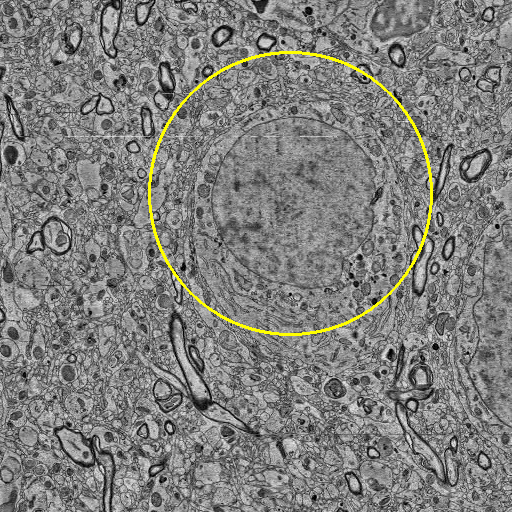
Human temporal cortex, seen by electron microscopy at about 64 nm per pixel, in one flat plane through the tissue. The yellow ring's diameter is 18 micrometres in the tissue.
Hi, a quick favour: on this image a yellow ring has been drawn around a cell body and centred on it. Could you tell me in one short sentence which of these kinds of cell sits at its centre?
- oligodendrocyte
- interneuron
The ring is centred on an interneuron.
